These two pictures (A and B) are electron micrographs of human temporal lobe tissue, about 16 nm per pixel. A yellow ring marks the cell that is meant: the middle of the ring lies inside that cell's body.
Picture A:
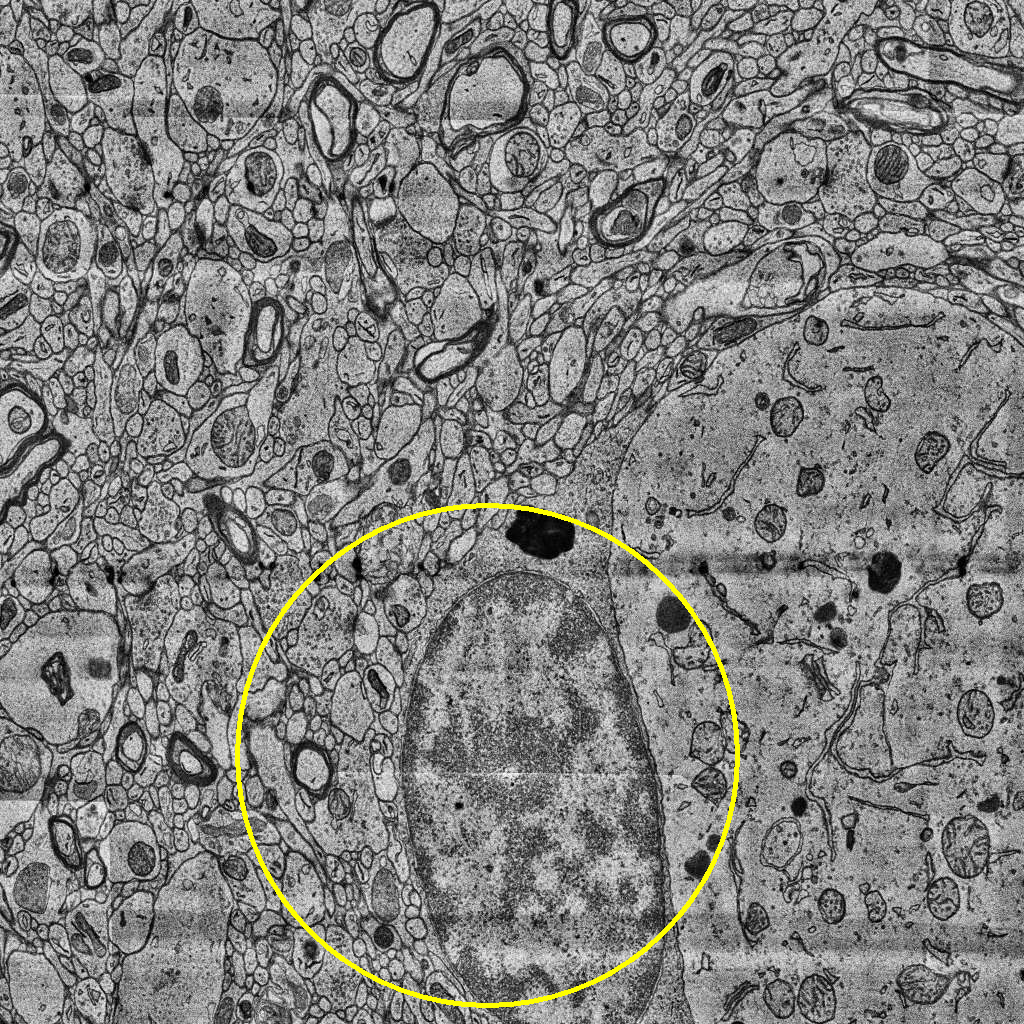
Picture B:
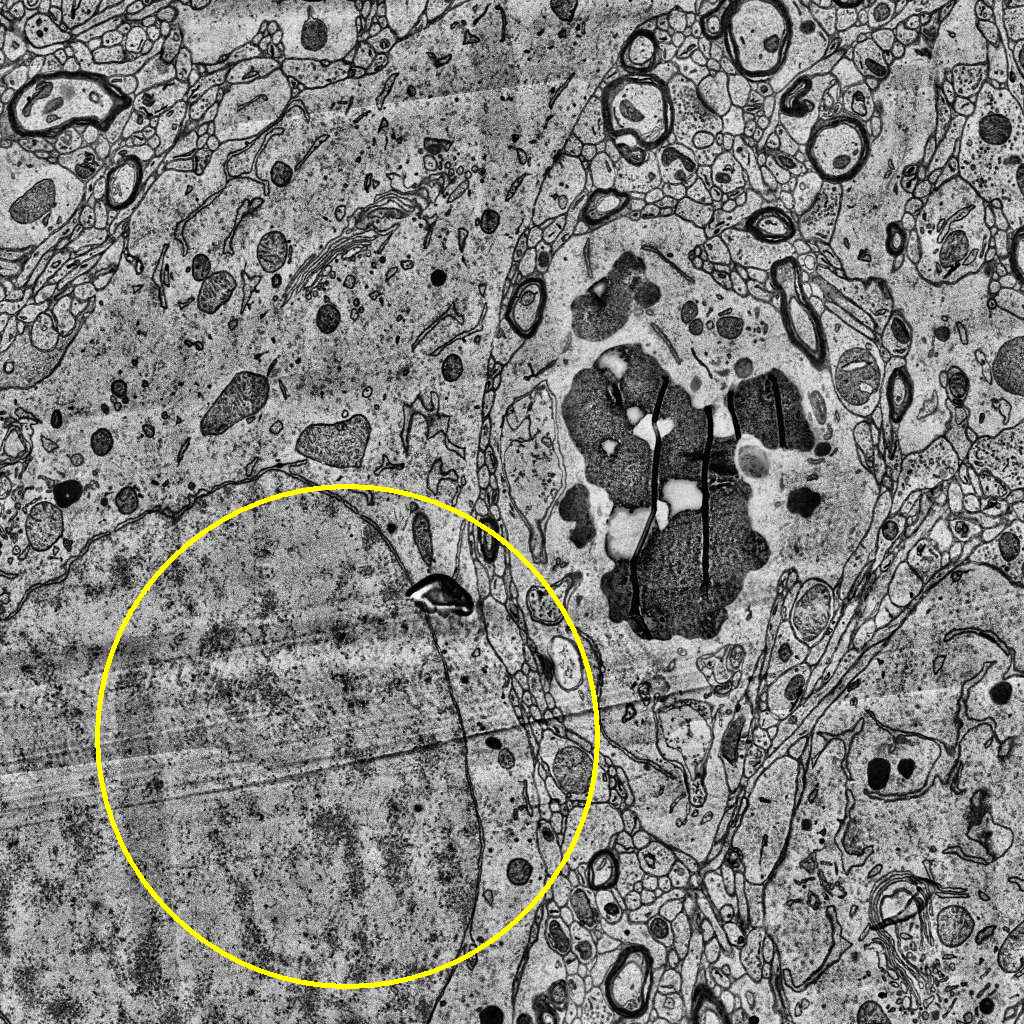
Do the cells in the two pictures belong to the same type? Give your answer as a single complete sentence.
No. Picture A shows an oligodendrocyte, but picture B shows a pyramidal neuron.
